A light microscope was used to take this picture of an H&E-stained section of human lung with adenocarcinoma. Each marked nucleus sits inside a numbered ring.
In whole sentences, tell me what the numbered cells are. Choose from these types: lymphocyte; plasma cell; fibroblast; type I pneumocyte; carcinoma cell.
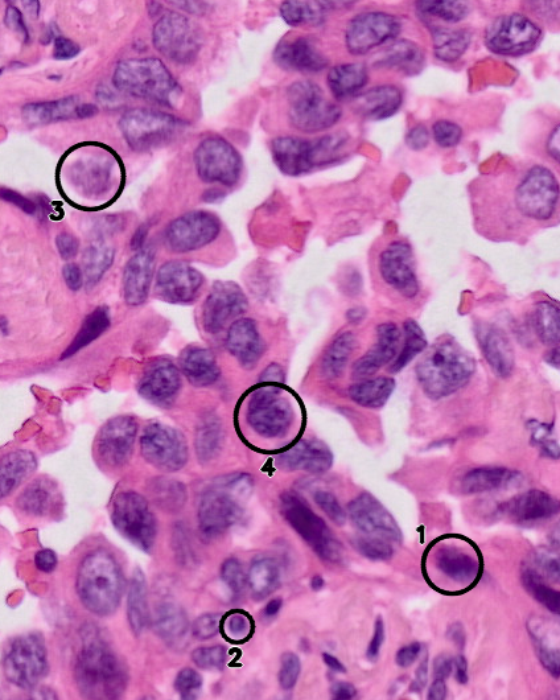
Cells 1, 3 and 4 are carcinoma cells. Cell 2 is a lymphocyte.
